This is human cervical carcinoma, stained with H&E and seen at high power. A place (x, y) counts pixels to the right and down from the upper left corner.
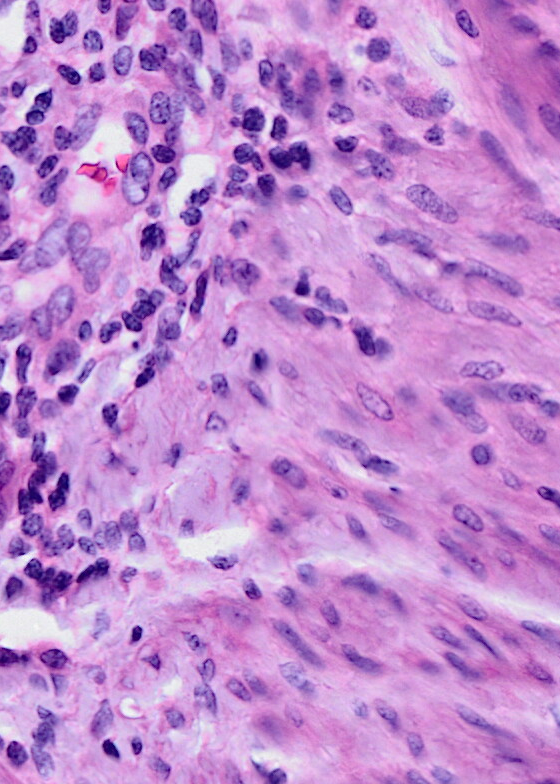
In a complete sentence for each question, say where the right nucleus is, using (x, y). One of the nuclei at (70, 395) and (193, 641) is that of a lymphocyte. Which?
That would be the nucleus at (70, 395); it belongs to a lymphocyte.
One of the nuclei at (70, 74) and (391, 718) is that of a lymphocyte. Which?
Of the two nuclei, the one at (70, 74) belongs to a lymphocyte.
